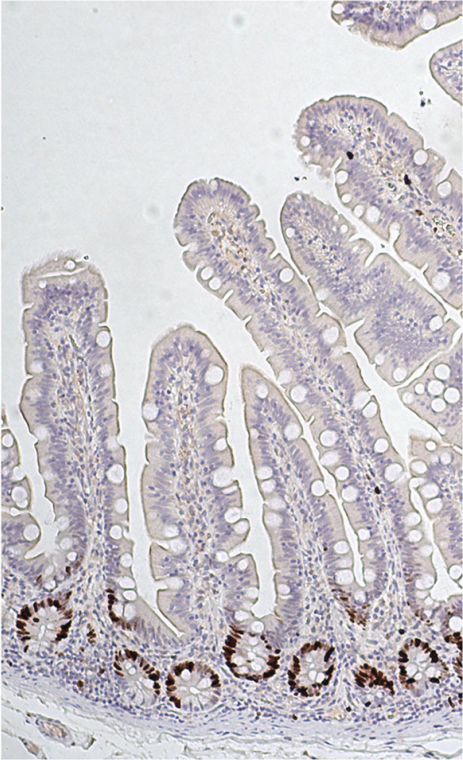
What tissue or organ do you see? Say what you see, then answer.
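Tall finger-like villi project from the mucosal surface. Villi are lined by columnar epithelium with scattered clear goblet cells. Round glands sit at the base of the villi above a thin muscle layer. So: small intestine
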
